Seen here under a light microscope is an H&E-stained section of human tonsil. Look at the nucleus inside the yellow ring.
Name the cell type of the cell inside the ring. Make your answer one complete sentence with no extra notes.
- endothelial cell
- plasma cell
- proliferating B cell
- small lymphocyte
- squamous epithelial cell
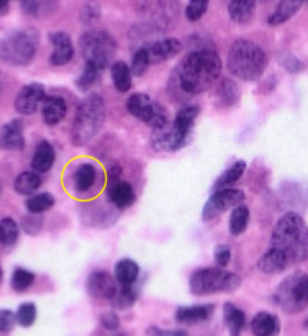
By its classification, the cell inside the ring is a plasma cell.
